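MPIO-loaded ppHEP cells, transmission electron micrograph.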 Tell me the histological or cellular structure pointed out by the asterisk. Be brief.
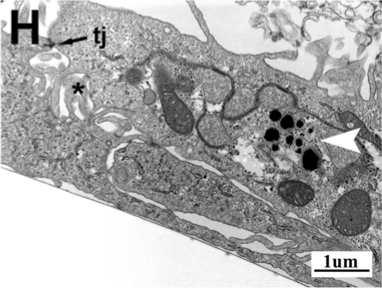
intimate cell-to-cell interdigitions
